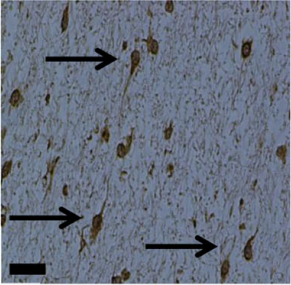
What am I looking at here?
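Brain tissue with many scattered neurons whose cell bodies are stained dark brown on a pale bluish-grey background. The stained cell bodies are triangular to oval, several giving off long thin processes that run through the surrounding fibrillar tissue. Arrows point to some of these dark cells and their processes.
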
